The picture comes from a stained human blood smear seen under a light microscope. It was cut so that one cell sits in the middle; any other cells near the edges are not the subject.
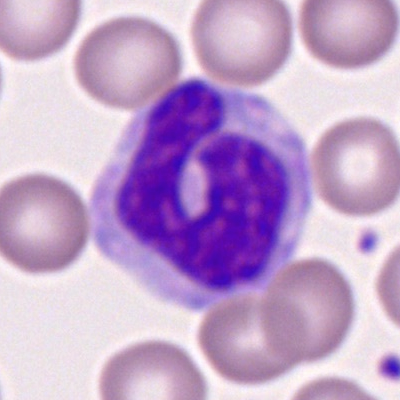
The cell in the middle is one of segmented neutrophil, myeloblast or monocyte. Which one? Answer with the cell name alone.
monocyte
